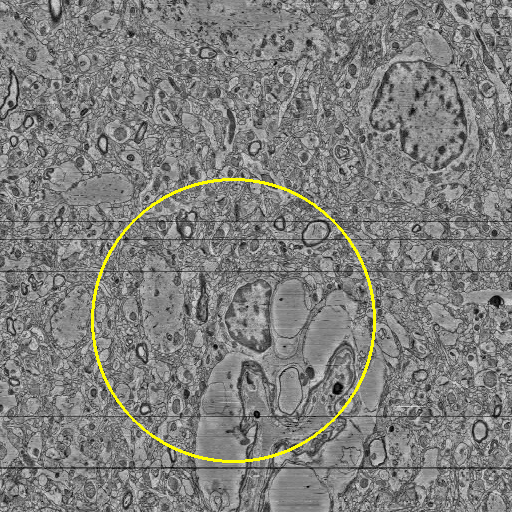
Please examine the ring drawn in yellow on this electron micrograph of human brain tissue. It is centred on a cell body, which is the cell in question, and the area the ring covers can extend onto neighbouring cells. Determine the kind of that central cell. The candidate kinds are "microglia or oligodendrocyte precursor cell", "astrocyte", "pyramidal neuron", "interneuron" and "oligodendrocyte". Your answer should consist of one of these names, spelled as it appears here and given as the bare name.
microglia or oligodendrocyte precursor cell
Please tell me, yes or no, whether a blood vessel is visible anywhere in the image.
Yes, one is visible.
